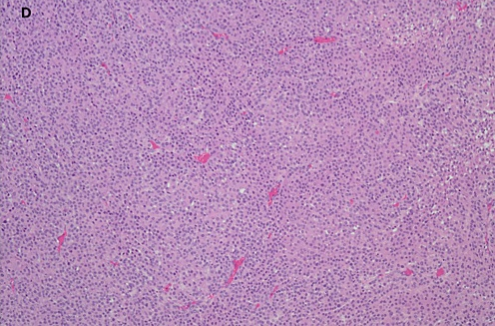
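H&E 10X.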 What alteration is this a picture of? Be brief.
Solid component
